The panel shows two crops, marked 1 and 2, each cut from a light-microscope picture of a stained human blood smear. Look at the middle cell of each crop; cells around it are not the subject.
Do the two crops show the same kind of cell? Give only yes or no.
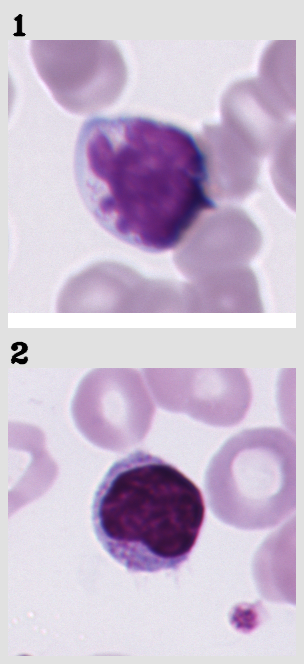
yes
